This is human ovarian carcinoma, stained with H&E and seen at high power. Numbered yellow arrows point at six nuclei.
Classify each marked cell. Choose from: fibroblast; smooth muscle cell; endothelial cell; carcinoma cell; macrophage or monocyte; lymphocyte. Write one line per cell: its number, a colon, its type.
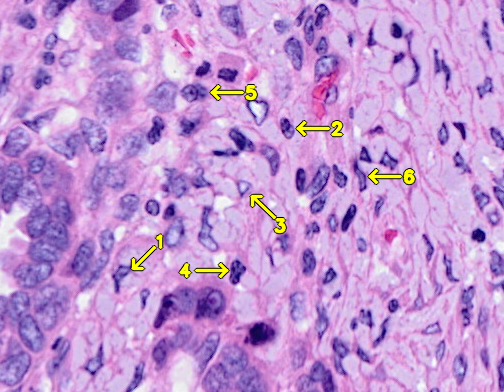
1: fibroblast
2: lymphocyte
3: fibroblast
4: lymphocyte
5: lymphocyte
6: fibroblast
